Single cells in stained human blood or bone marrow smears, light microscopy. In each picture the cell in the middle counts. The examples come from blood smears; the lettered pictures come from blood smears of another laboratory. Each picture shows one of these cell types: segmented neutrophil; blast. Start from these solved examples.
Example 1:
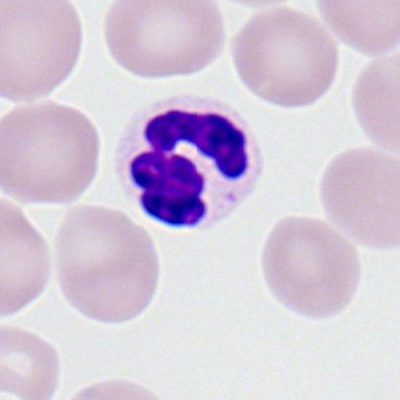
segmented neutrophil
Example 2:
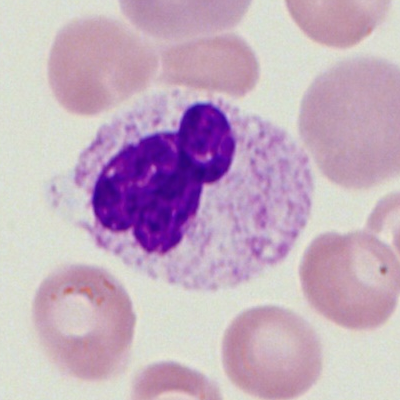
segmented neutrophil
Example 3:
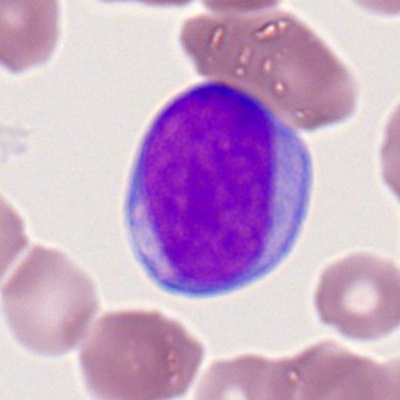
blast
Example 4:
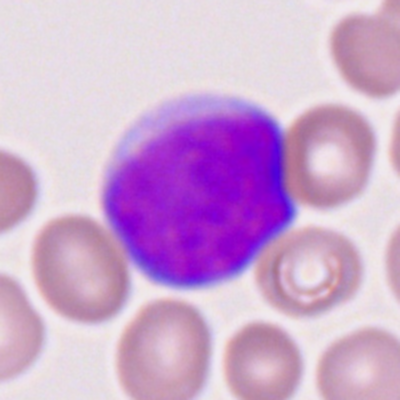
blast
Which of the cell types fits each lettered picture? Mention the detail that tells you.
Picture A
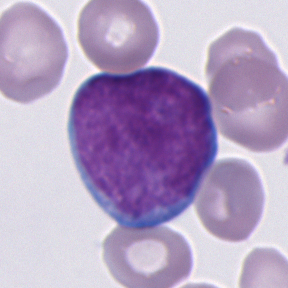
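Label: blast. The cytoplasm forms only a thin rim, widest along the lower edge of the cell.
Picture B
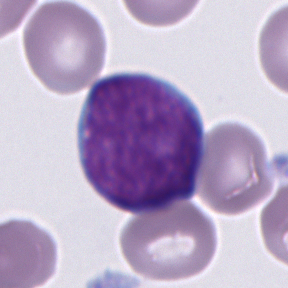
Label: blast. The cytoplasm is only a very thin rim of deep blue around the nucleus.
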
